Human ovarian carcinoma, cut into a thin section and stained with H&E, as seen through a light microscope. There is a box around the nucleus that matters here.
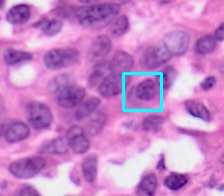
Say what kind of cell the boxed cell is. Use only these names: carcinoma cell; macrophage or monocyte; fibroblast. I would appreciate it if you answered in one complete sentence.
What the boxed cell represents is a carcinoma cell.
